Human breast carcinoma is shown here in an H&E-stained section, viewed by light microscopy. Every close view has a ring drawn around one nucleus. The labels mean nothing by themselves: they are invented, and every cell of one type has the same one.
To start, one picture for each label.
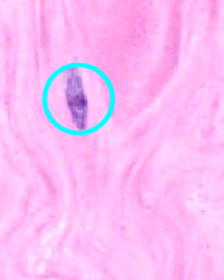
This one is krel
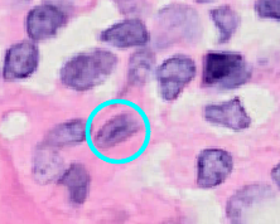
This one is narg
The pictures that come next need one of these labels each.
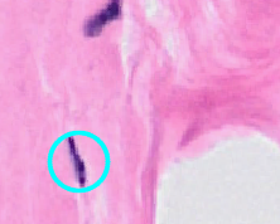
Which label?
krel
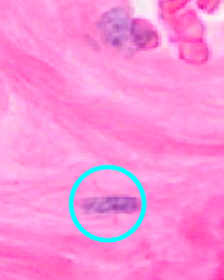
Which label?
krel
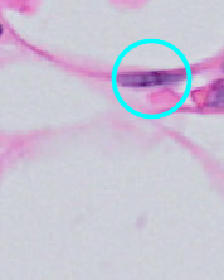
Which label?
narg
